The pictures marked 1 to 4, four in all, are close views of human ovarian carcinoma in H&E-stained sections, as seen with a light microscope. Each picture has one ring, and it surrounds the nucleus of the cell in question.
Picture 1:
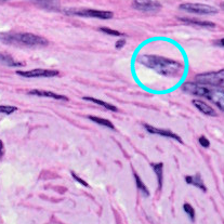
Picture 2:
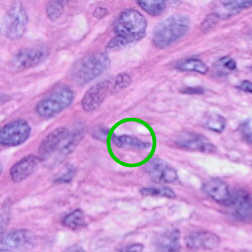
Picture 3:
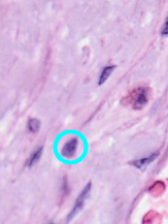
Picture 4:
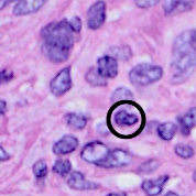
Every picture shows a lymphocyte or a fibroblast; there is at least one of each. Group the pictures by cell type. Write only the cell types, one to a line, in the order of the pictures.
fibroblast
fibroblast
lymphocyte
lymphocyte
